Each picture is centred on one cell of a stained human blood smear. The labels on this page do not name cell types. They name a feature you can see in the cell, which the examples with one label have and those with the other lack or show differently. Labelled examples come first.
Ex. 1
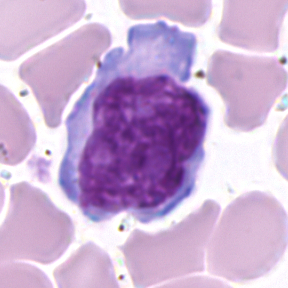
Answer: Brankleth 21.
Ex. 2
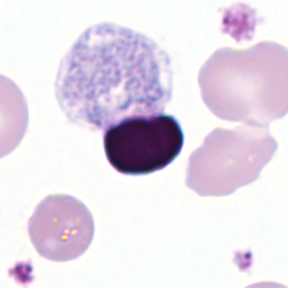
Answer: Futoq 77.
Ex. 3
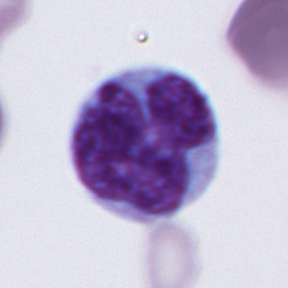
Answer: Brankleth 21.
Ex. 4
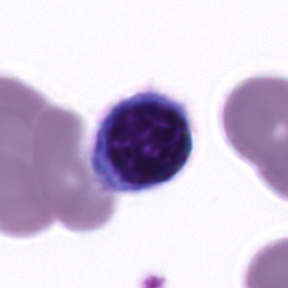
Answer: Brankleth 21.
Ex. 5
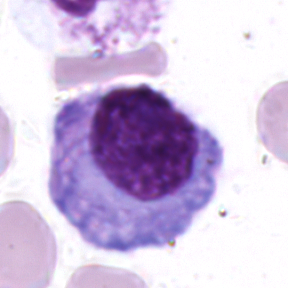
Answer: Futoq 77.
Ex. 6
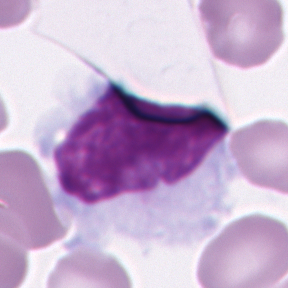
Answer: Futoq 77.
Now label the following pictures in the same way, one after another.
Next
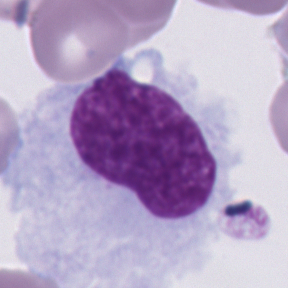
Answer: Futoq 77.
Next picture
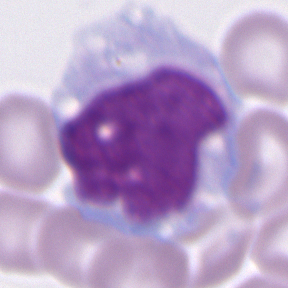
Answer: Futoq 77.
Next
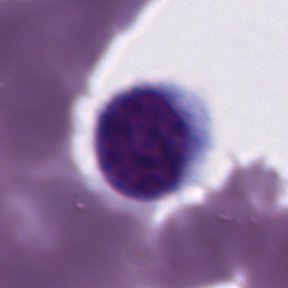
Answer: Brankleth 21.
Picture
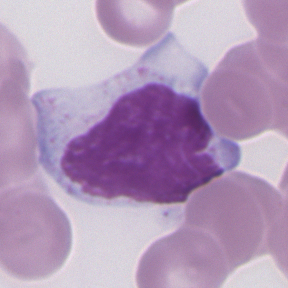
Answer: Futoq 77.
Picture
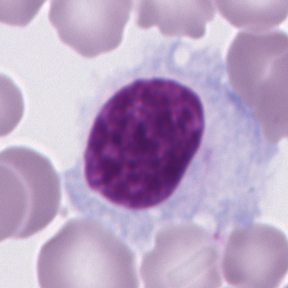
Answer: Futoq 77.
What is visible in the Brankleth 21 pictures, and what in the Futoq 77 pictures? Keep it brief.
Brankleth 21, scant cytoplasm; Futoq 77, abundant cytoplasm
